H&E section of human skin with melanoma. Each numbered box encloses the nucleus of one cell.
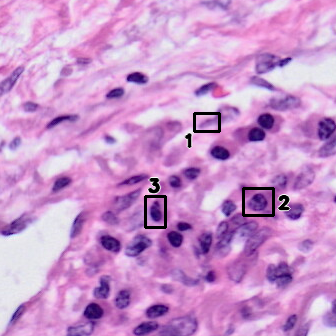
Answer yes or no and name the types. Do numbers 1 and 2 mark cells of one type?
No, the cell numbered 1 is a fibroblast or myofibroblast and the cell numbered 2 is a plasma cell.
